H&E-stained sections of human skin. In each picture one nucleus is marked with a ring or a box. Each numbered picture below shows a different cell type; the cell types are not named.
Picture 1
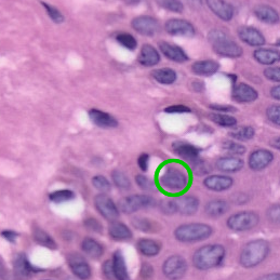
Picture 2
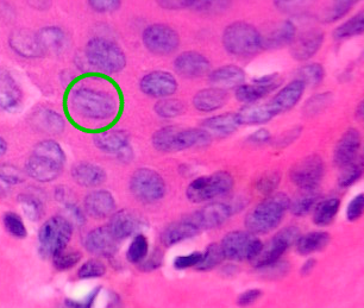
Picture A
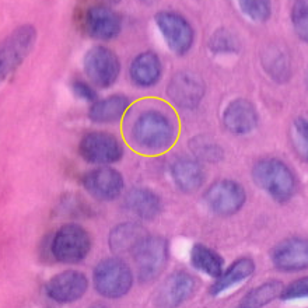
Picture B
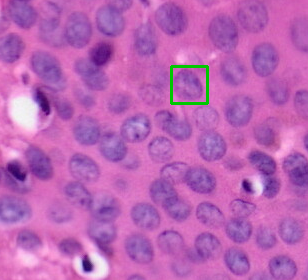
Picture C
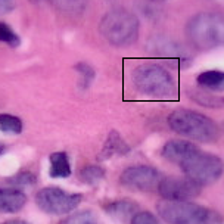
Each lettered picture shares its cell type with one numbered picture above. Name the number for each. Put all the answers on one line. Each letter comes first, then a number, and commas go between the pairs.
A 2, B 2, C 1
